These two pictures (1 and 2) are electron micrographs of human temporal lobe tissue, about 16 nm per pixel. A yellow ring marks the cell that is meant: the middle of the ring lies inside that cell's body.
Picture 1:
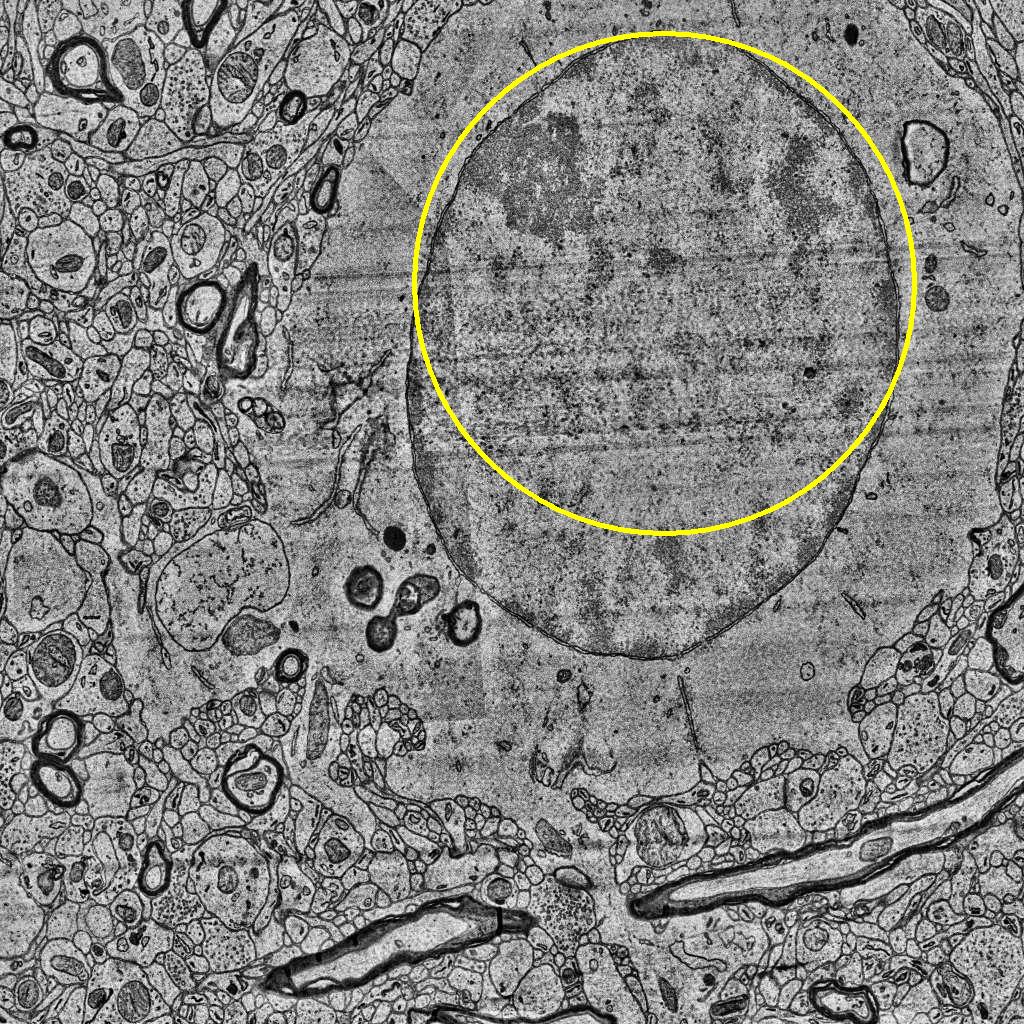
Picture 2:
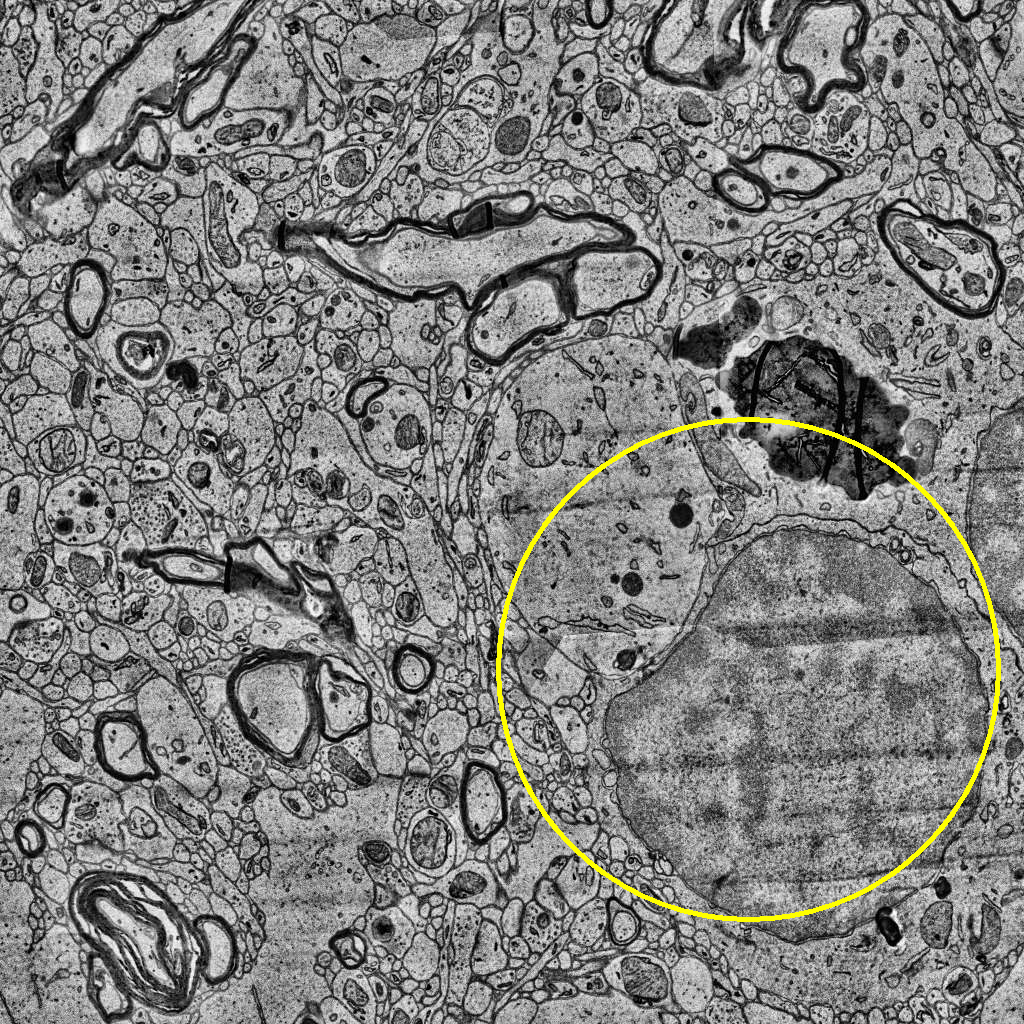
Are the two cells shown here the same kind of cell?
No. Picture 1 shows an astrocyte, but picture 2 shows an oligodendrocyte.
